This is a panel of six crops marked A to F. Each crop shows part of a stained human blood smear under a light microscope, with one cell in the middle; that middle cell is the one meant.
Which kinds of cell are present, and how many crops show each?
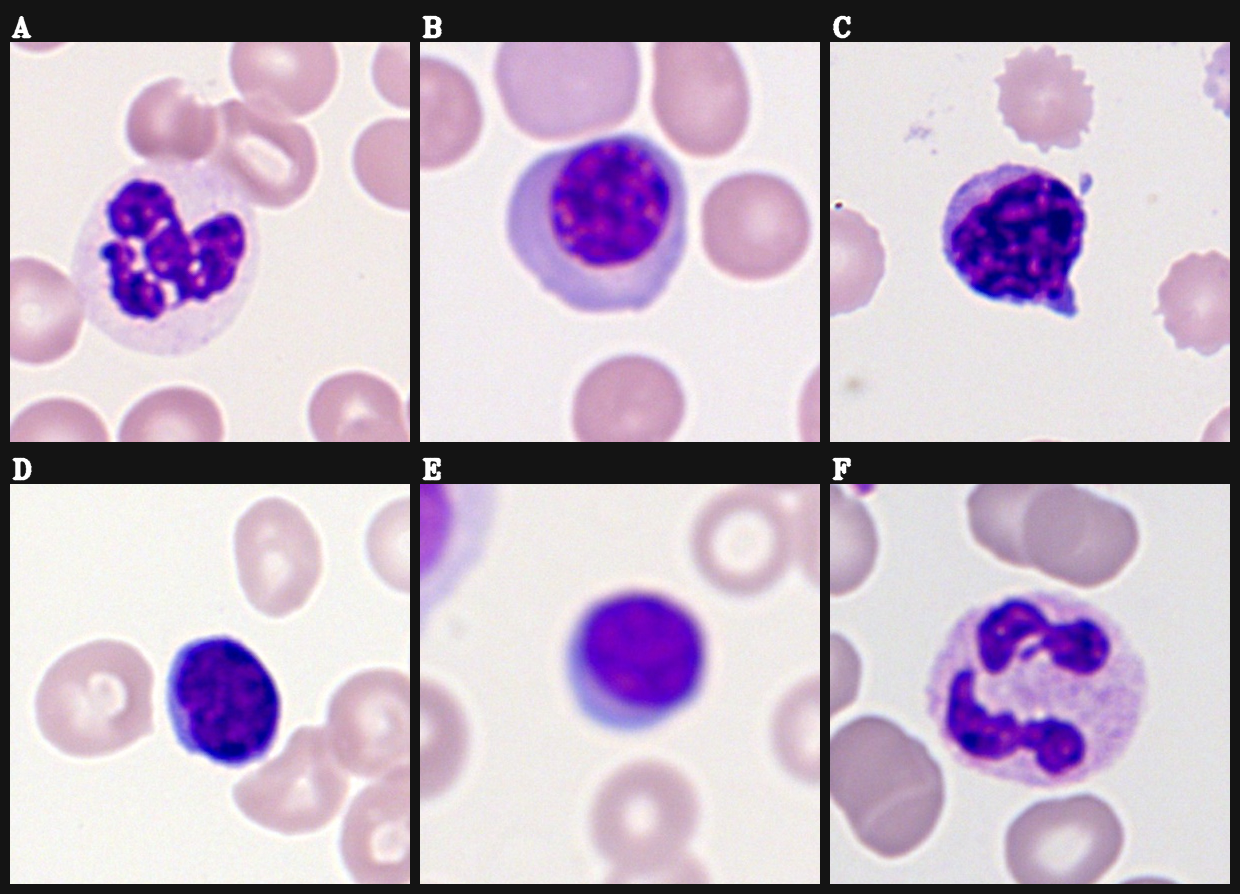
lymphocyte: 3
segmented neutrophil: 2
erythroblast: 1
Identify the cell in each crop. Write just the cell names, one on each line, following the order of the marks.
segmented neutrophil
erythroblast
lymphocyte
lymphocyte
lymphocyte
segmented neutrophil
